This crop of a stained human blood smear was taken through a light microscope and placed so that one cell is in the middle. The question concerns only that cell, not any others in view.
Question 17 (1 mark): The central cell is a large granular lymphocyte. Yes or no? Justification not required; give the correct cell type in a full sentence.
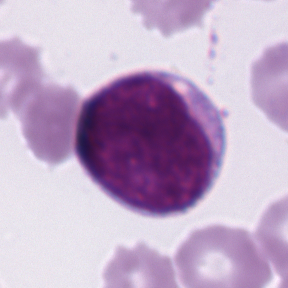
No, that is not a large granular lymphocyte; the middle cell is a myeloblast.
